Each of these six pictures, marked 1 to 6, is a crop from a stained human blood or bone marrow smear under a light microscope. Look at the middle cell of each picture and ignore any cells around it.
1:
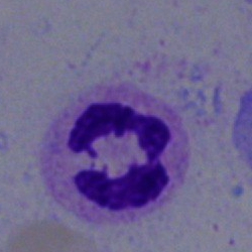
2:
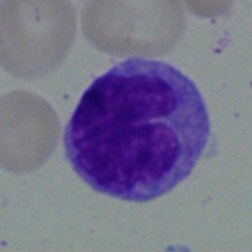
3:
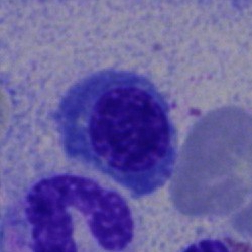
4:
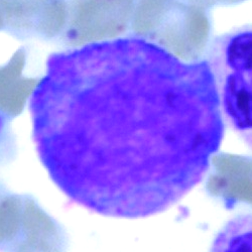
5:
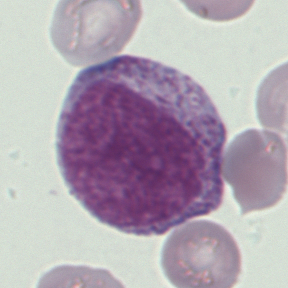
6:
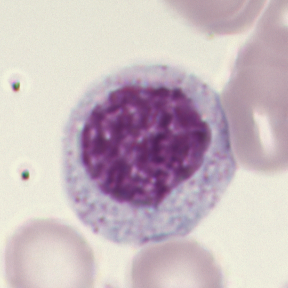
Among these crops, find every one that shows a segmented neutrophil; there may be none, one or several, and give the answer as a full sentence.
Crop 1 is the exclusive holder of a segmented neutrophil in this set.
